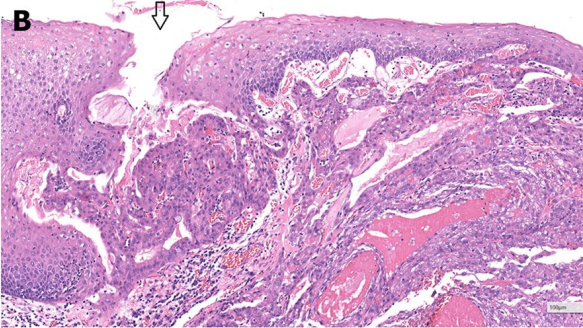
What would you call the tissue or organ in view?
squamous epithelium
